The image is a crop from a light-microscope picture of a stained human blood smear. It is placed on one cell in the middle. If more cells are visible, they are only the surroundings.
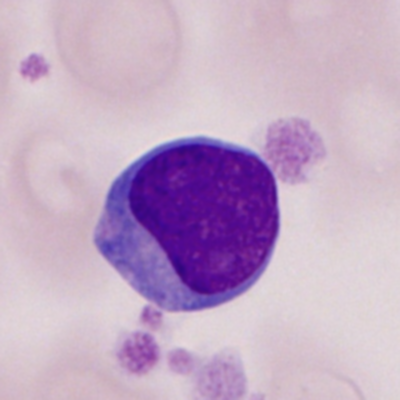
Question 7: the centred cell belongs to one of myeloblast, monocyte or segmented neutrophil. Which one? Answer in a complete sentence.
To answer, the cell in the center of the crop is a myeloblast.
